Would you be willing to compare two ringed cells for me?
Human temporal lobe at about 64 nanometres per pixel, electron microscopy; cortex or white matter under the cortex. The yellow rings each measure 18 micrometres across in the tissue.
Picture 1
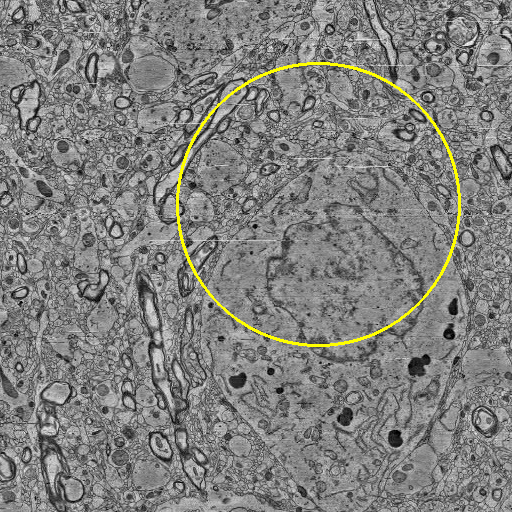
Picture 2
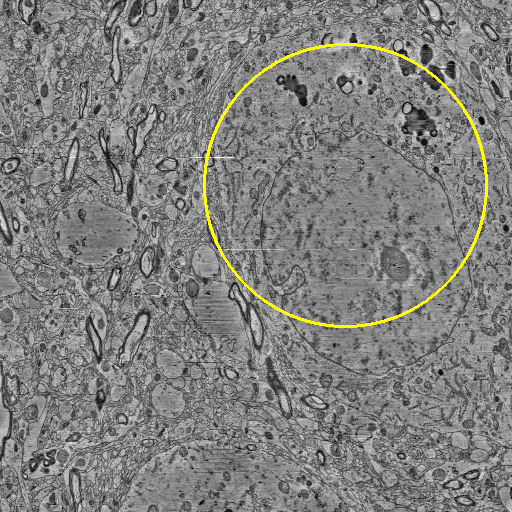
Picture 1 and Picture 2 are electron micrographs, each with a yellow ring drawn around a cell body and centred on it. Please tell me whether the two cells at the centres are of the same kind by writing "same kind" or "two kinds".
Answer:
same kind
